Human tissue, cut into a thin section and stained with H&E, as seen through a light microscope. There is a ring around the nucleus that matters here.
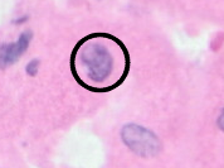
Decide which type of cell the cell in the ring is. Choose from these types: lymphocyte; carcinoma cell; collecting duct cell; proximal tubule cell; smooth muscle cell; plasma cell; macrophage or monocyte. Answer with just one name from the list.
proximal tubule cell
